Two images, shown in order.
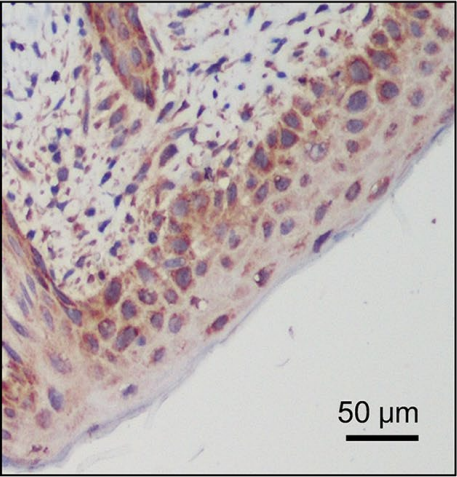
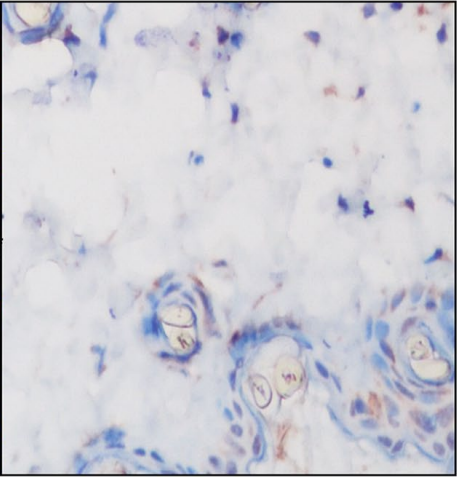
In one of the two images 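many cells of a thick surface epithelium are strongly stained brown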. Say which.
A: the first image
